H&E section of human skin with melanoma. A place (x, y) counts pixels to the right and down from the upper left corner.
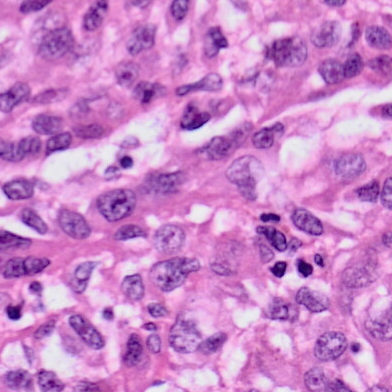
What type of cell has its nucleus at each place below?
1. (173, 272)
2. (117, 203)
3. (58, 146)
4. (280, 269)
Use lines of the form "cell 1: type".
cell 1: melanoma cell
cell 2: melanoma cell
cell 3: melanoma cell
cell 4: lymphocyte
